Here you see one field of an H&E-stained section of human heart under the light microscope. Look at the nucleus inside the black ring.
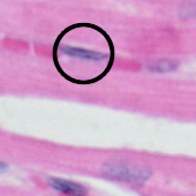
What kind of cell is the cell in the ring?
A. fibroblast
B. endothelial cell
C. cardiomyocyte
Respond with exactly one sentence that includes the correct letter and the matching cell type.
The correct response is option B: the cell in the ring is an endothelial cell.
